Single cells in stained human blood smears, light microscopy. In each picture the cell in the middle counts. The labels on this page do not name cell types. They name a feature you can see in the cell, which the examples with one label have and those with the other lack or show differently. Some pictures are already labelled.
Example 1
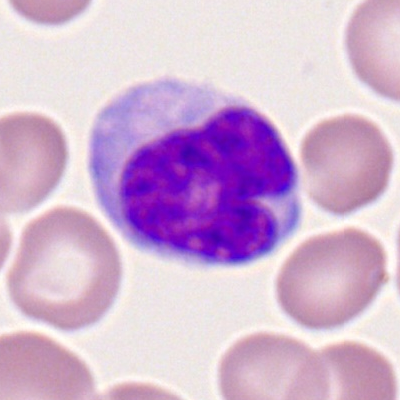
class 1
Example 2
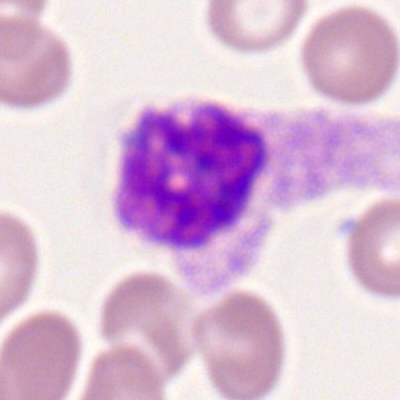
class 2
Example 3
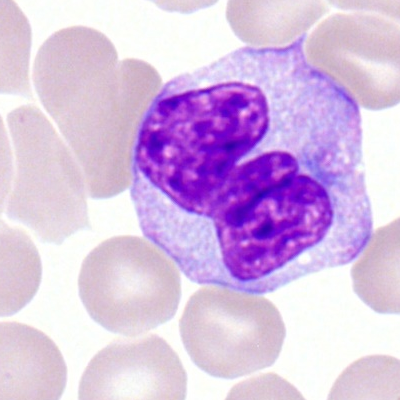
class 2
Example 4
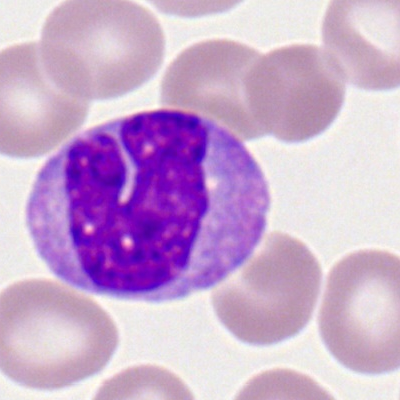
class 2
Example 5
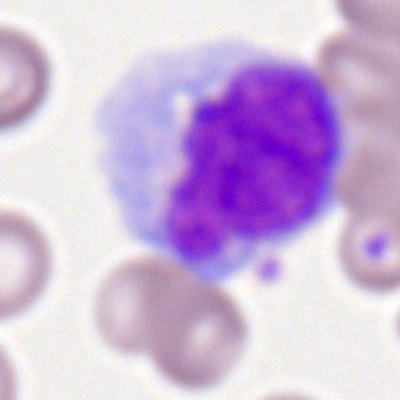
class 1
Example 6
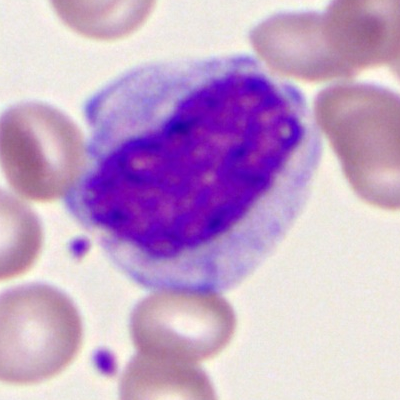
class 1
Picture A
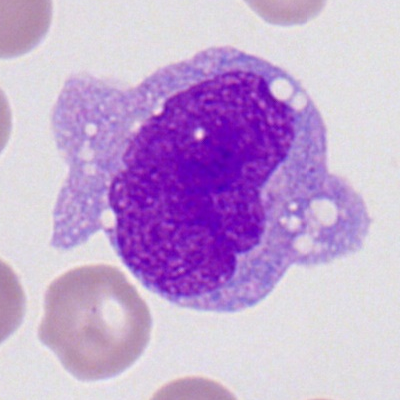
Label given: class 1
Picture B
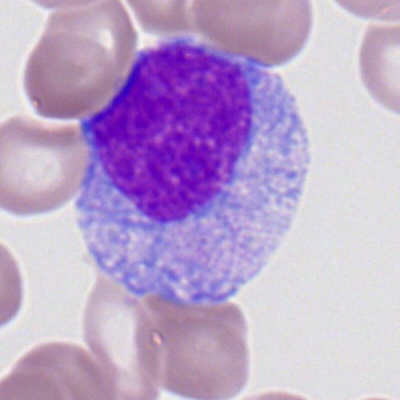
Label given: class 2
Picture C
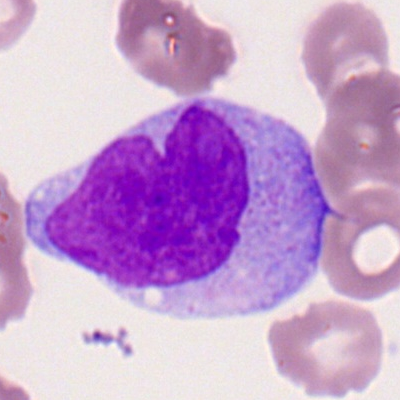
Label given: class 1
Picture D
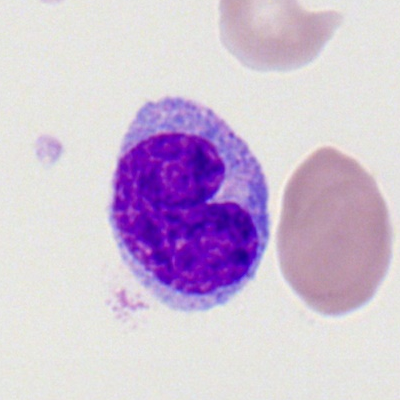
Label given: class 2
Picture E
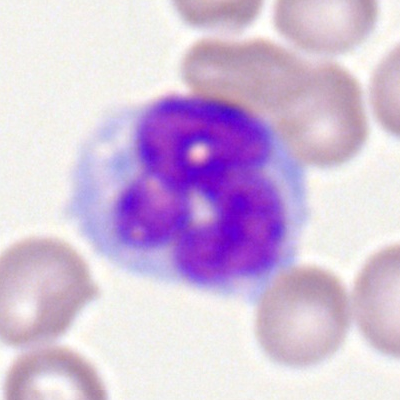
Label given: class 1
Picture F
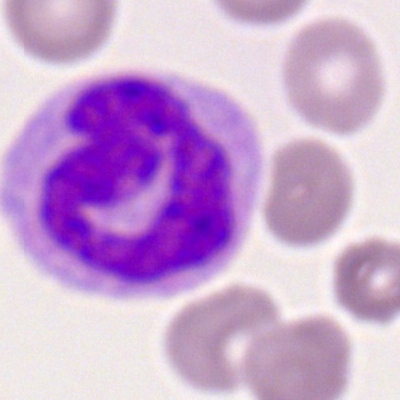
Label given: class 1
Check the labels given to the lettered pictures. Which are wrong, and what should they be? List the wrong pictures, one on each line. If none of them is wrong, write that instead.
Wrong: A (class 1); correct: class 2
Wrong: C (class 1); correct: class 2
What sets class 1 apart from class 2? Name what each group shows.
class 1, no visible granules; class 2, many visible granules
